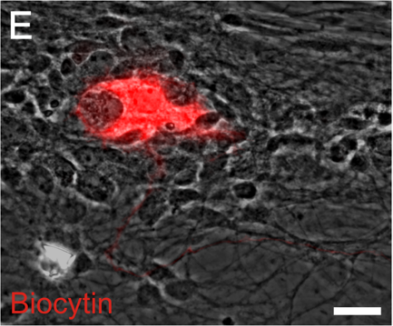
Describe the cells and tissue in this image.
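Densely packed cultured cells are seen in phase contrast, with one neuron filled red lying among them. Surrounding cells show round to oval nuclei with small dark nucleoli and crowded, overlapping outlines. The red-filled cell body overlies the cluster and gives off a thin red process running downward through a meshwork of fine fibres below. A bright, refractile cell lies at the lower left.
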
